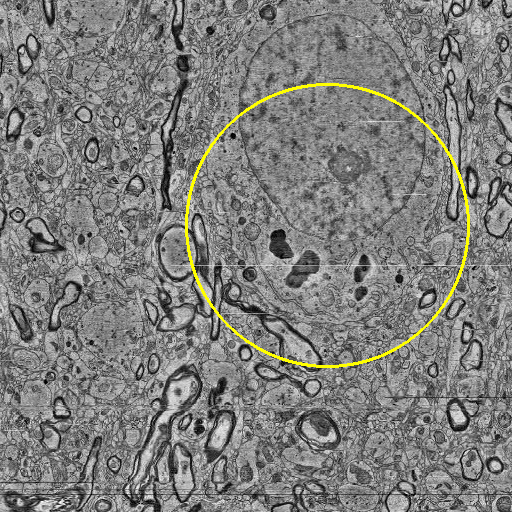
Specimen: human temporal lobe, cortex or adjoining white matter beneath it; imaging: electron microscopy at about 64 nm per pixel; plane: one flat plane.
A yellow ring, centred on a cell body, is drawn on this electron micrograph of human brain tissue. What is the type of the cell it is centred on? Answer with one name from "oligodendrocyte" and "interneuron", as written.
interneuron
